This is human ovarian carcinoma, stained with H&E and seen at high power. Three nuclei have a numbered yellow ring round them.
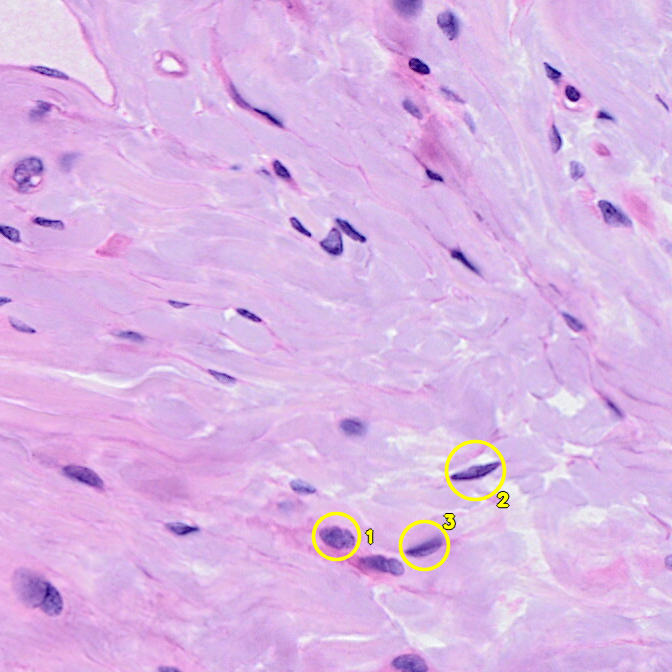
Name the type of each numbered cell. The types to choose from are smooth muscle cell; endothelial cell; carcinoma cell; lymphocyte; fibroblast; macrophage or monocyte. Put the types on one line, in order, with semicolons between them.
smooth muscle cell; fibroblast; fibroblast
